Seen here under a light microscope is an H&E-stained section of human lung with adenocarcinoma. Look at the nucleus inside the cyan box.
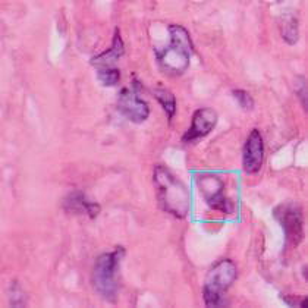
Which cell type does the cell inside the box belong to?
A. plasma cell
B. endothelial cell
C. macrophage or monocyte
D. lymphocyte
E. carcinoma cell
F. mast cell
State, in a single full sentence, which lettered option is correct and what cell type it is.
The correct option is B, as the cell inside the box is an endothelial cell.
